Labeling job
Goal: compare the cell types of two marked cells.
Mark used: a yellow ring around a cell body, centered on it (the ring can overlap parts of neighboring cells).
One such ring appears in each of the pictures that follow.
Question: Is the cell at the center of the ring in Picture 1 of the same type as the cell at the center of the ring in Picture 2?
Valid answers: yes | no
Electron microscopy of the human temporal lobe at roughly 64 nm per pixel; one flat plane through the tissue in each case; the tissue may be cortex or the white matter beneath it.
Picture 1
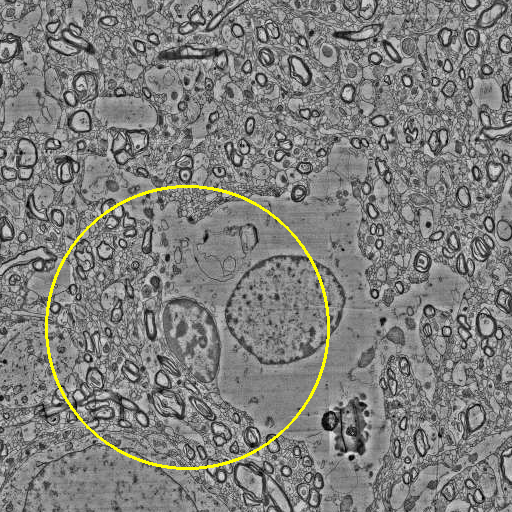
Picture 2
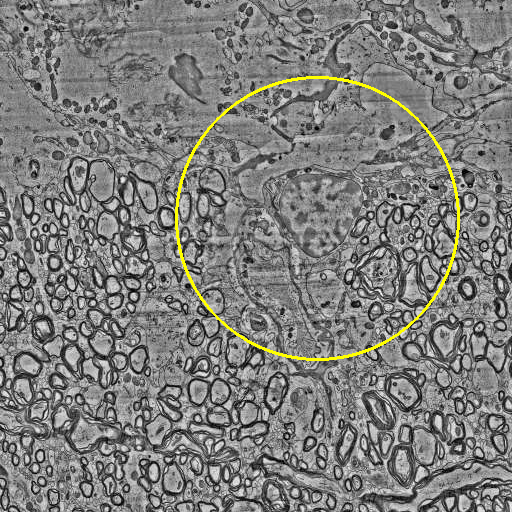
yes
